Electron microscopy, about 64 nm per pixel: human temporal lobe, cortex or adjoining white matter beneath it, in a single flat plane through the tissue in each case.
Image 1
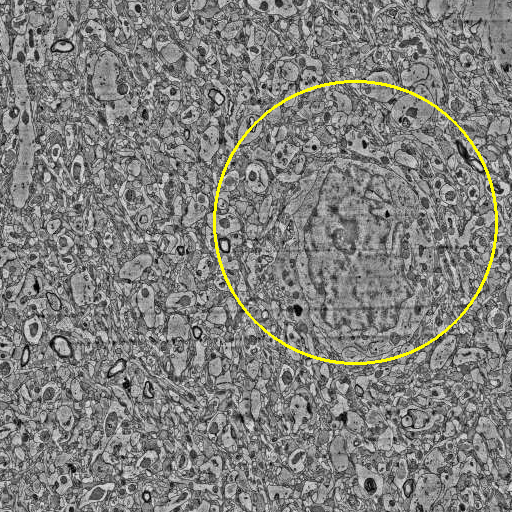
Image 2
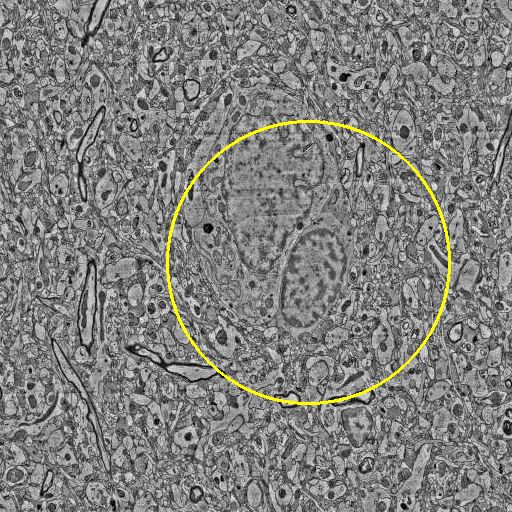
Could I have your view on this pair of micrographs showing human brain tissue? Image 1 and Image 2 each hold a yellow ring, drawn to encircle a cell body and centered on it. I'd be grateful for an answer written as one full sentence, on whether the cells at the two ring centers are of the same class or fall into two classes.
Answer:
The cells at the centers of the two rings fall into two classes.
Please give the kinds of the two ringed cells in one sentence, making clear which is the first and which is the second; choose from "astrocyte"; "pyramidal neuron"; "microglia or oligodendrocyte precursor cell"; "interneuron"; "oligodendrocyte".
In the second picture the ringed cell is an oligodendrocyte; in the first it is an interneuron.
